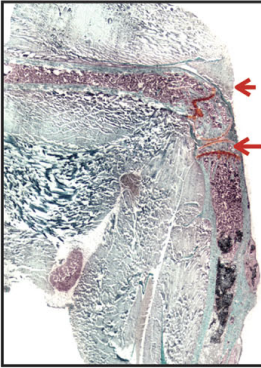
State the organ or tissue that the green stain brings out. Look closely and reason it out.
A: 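Thin green-blue layers outline the long bone and its marrow cavity.
Mineral bone.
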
